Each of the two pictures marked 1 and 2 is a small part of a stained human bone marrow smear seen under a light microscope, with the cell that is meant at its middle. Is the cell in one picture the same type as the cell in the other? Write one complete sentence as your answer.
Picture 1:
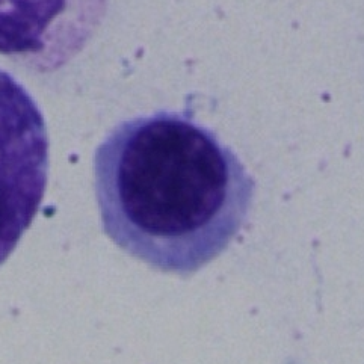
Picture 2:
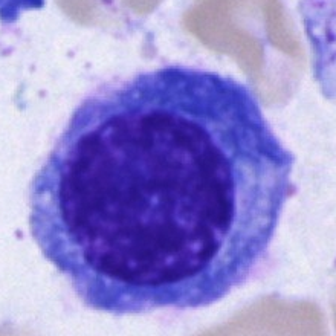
No, the types are not the same, since picture 1 shows an erythroblast and picture 2 a plasma cell.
